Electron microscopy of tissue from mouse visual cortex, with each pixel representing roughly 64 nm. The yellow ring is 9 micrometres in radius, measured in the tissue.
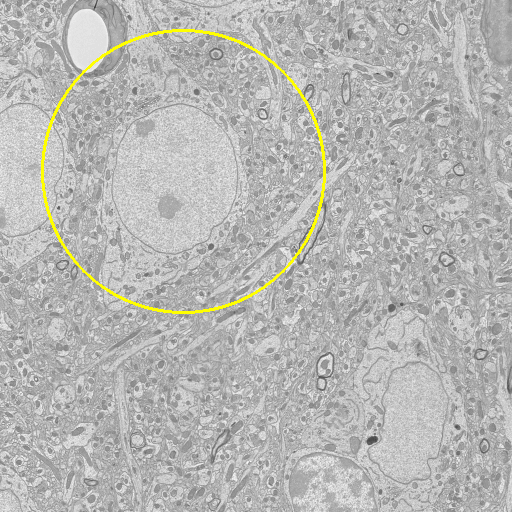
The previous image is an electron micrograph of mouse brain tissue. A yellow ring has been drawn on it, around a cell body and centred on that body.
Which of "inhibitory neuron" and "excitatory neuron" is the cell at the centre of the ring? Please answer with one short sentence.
The cell body at the centre of the ring belongs to an excitatory neuron.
